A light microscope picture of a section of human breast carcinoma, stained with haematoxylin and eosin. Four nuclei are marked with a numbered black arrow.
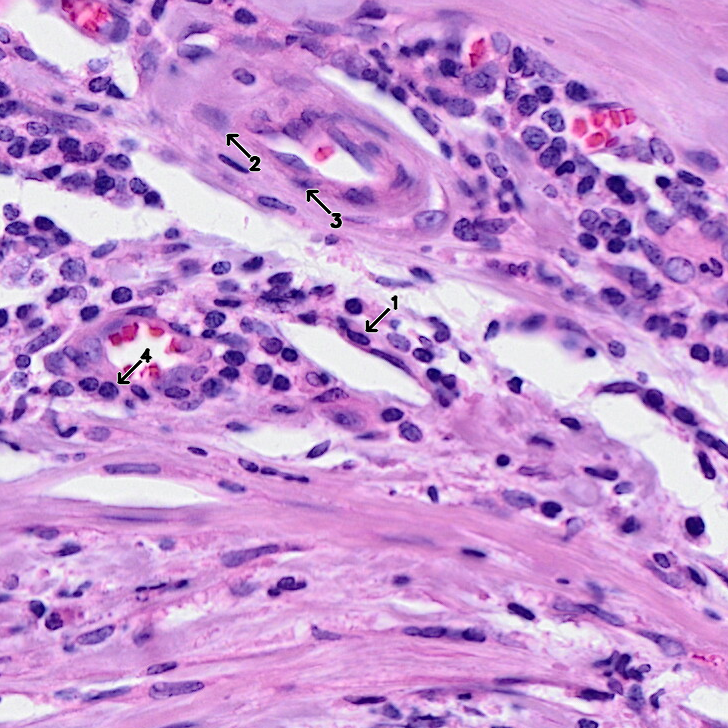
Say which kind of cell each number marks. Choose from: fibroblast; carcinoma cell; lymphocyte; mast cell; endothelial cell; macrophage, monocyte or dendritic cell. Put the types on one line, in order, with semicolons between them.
lymphocyte; fibroblast; endothelial cell; lymphocyte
